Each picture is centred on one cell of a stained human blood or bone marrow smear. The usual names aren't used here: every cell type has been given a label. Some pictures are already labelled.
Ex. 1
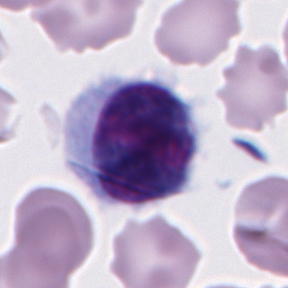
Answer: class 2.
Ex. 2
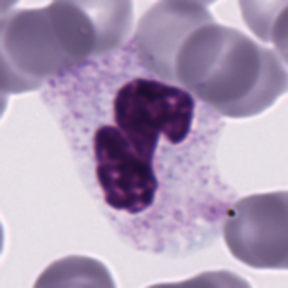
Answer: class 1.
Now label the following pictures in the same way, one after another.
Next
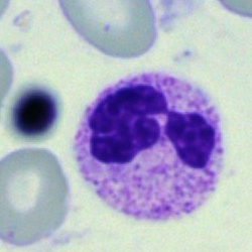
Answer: class 1.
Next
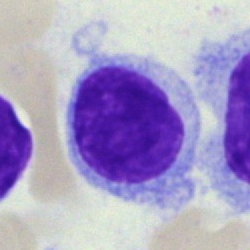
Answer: class 2.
